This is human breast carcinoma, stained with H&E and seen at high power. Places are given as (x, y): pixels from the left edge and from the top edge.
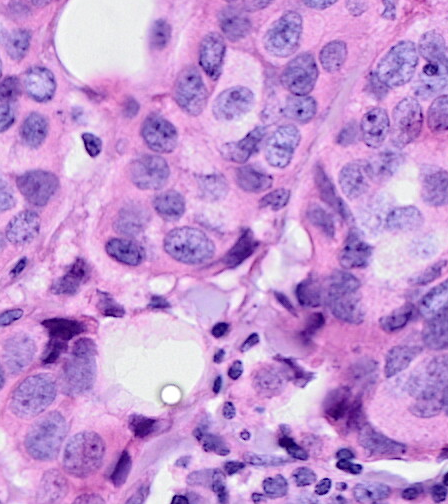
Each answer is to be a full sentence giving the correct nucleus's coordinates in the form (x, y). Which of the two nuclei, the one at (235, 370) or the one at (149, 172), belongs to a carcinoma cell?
So, of the two, the nucleus at (149, 172) is the one belonging to a carcinoma cell.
